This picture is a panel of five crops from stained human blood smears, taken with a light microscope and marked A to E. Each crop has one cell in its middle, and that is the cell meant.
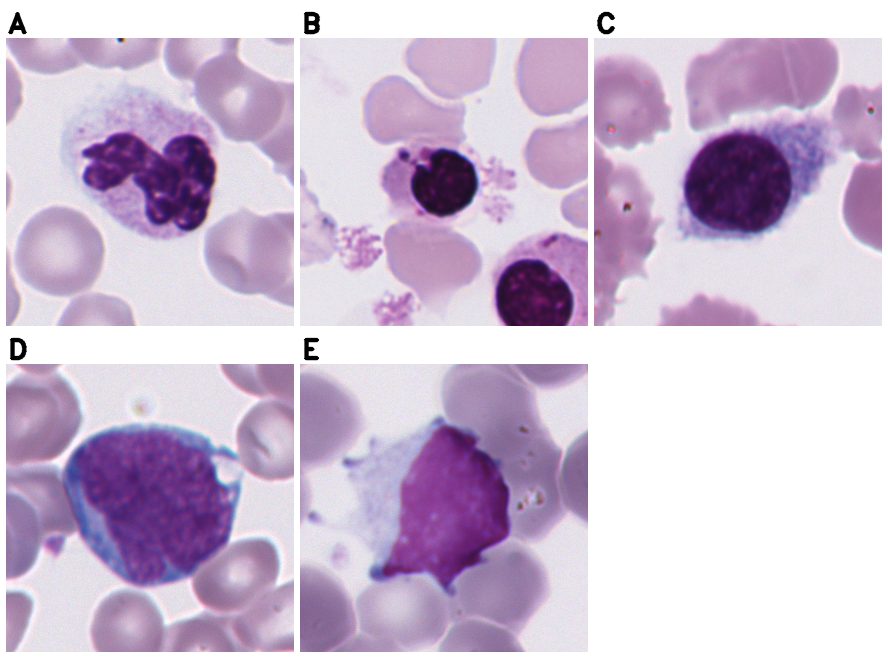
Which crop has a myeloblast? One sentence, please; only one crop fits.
Here the crop that shows a myeloblast is crop D.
